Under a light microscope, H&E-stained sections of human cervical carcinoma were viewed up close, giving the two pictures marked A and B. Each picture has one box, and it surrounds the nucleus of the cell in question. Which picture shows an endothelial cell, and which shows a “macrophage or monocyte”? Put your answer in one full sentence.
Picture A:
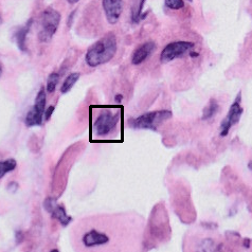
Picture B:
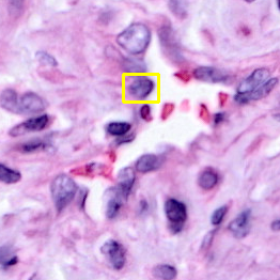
The cell in picture A is a “macrophage or monocyte”, and the one in picture B is an endothelial cell.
